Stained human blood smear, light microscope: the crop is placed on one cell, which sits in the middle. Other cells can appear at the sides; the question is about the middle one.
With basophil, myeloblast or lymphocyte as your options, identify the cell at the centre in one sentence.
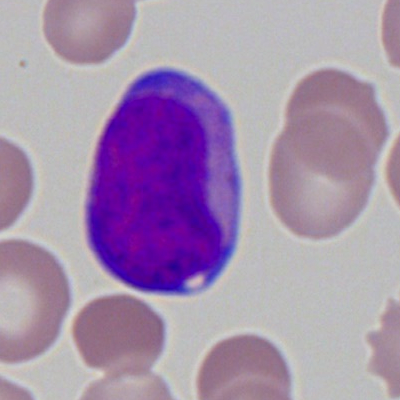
The identification for the central cell is a myeloblast.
